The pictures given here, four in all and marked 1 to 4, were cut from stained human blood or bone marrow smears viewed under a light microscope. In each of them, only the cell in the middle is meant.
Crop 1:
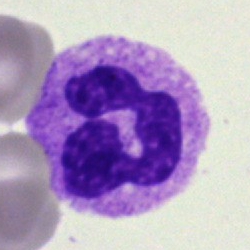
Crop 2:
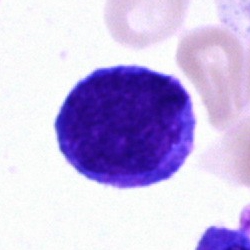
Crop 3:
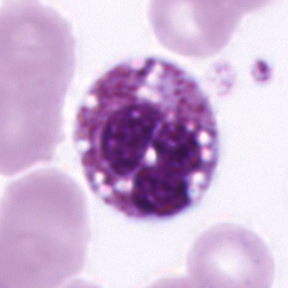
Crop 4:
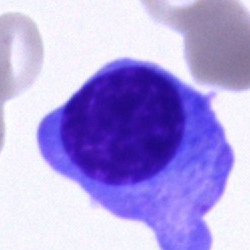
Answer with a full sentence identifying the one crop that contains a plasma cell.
In this series, a plasma cell is shown by crop 4.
